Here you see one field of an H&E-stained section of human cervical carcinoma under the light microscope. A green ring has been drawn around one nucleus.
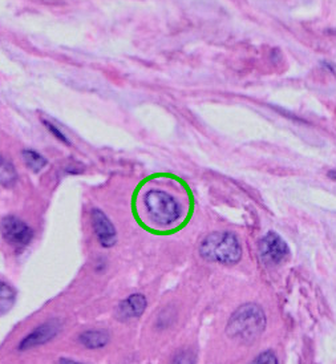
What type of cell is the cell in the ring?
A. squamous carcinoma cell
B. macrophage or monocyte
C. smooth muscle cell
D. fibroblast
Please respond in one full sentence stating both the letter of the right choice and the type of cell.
Option A names the cell in the ring correctly as a squamous carcinoma cell.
